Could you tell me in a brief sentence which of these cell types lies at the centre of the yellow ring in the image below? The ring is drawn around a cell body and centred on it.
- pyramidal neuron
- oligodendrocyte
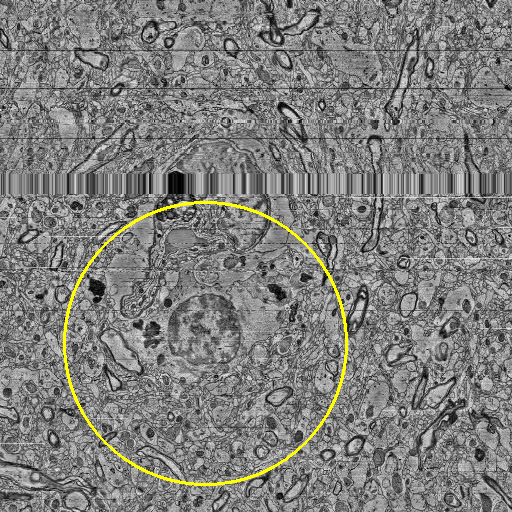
The cell centred in the ring is an oligodendrocyte.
